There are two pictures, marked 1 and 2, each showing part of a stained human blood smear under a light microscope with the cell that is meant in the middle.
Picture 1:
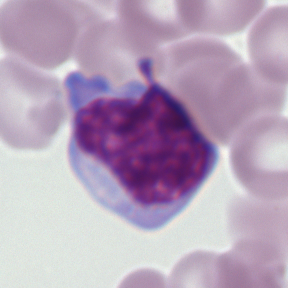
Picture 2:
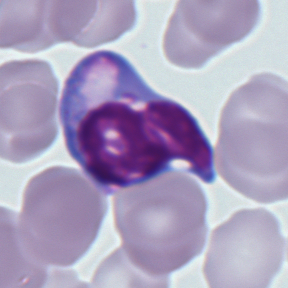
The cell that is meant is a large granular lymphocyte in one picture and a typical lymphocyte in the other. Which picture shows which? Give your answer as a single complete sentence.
In picture 1 the cell is a large granular lymphocyte; in picture 2, a typical lymphocyte.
